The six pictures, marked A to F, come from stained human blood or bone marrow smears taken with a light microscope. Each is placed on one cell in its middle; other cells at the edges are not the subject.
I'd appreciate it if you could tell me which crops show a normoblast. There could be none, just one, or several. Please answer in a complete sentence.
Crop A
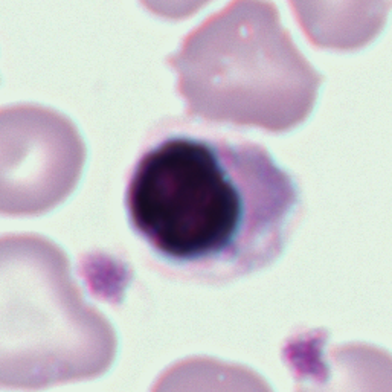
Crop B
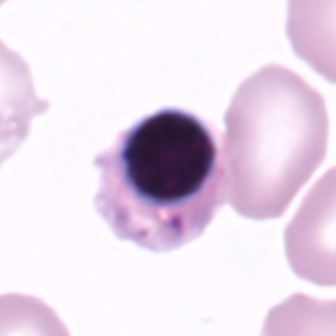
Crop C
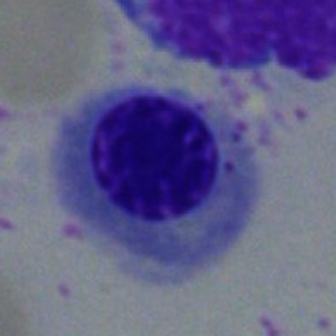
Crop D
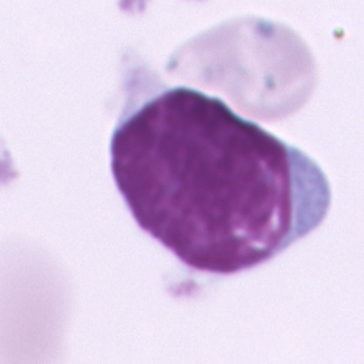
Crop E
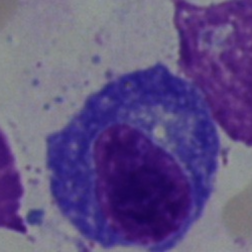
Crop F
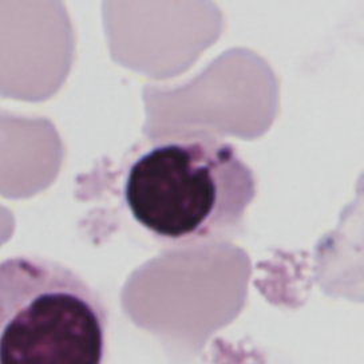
Crops A, B, C and F are recognised as showing normoblasts.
